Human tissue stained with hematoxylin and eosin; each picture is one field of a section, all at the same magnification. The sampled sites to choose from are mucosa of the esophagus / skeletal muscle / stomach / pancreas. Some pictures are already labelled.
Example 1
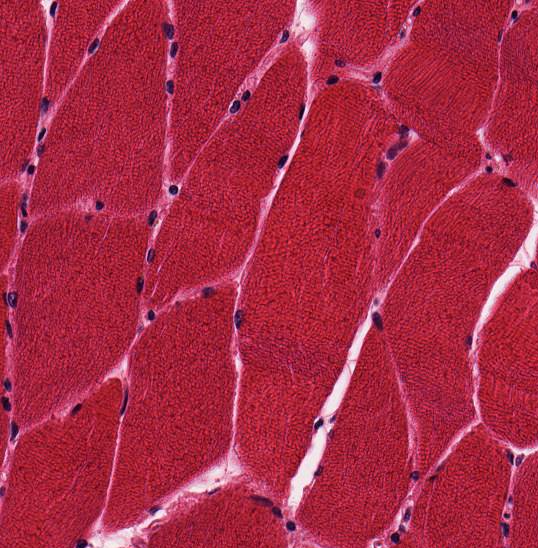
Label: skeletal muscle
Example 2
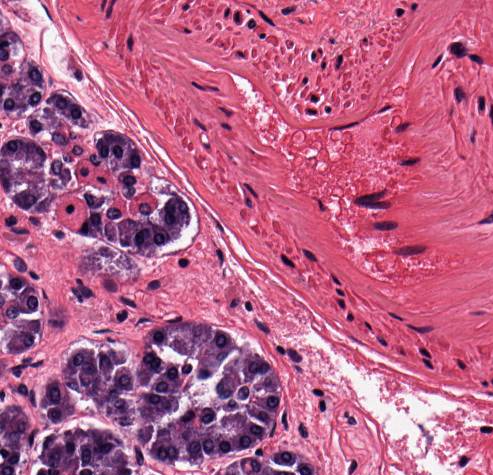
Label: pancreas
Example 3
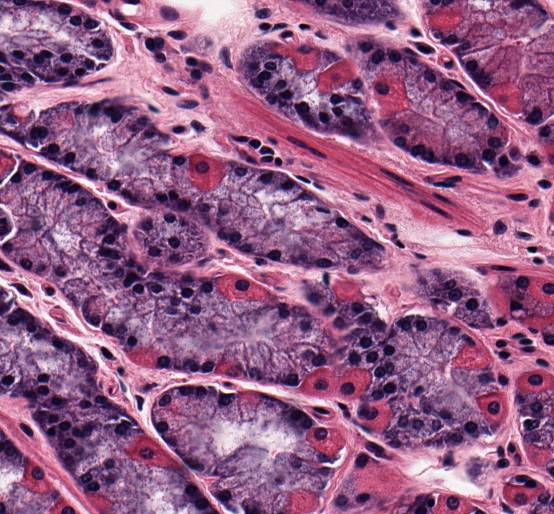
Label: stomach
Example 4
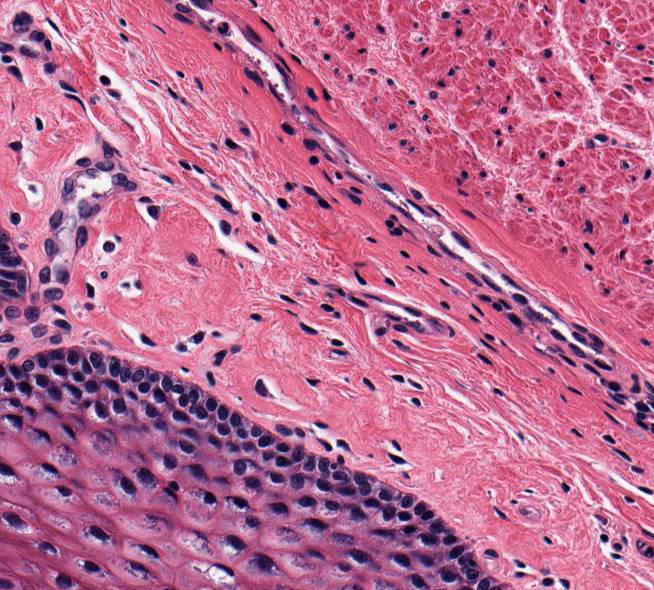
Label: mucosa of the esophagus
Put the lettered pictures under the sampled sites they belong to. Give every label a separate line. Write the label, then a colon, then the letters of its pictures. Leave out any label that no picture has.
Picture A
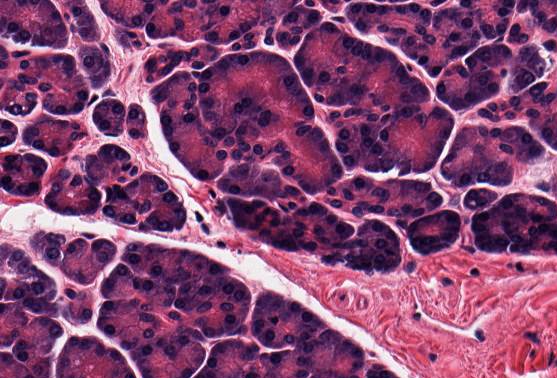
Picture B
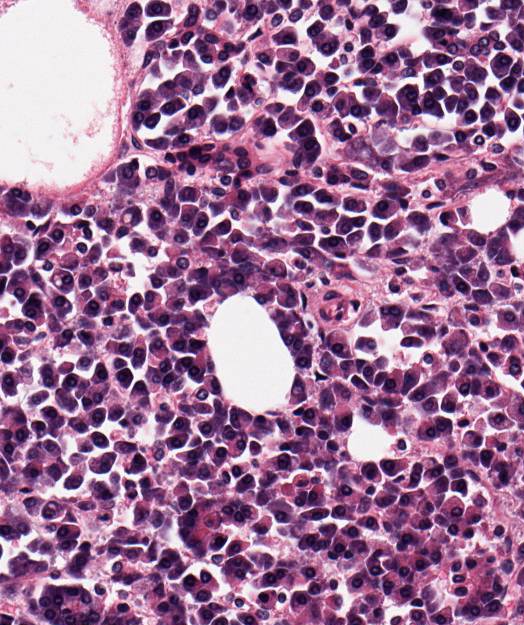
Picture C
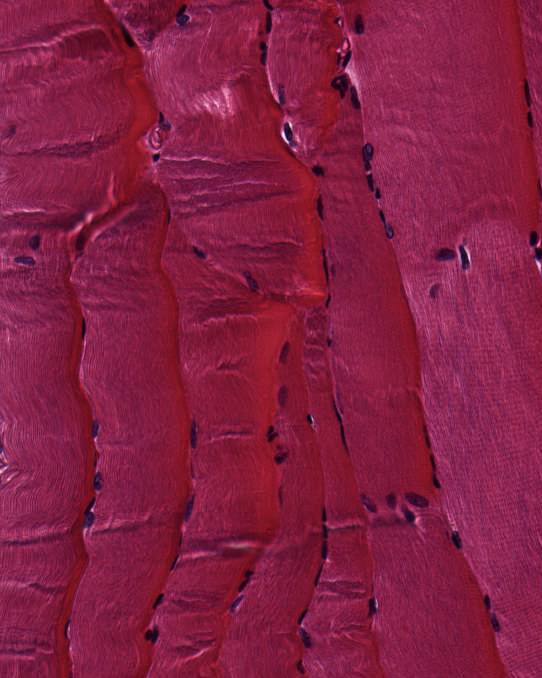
skeletal muscle: C
pancreas: A, B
